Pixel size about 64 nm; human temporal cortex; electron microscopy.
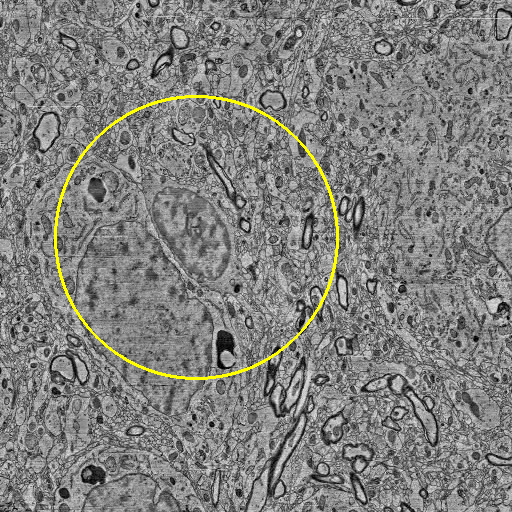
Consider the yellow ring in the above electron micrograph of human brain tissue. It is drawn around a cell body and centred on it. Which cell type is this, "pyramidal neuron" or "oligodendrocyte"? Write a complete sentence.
The cell in question is an oligodendrocyte.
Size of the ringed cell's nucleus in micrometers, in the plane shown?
About 7 by 4 micrometres; in this plane the nucleus is clearly longer than it is wide.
